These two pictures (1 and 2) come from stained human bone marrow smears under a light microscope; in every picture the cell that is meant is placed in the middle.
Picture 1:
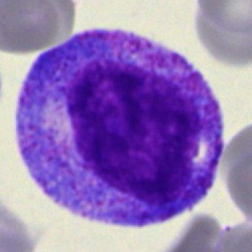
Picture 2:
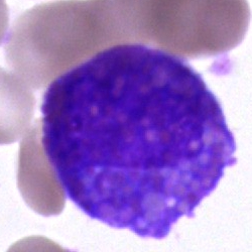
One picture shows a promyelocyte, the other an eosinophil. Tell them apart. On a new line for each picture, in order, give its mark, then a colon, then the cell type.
1: promyelocyte
2: eosinophil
